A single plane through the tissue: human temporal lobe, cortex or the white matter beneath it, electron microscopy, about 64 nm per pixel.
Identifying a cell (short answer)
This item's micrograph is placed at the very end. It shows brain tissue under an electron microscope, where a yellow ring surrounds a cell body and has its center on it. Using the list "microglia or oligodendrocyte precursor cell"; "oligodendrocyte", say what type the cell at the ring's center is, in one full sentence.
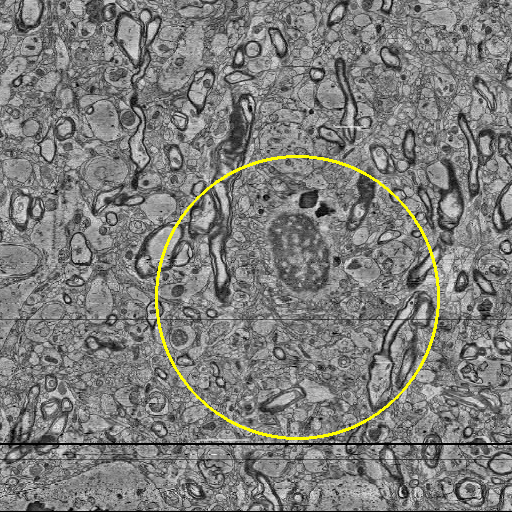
This picture shows an oligodendrocyte at the center of the yellow ring drawn on it.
